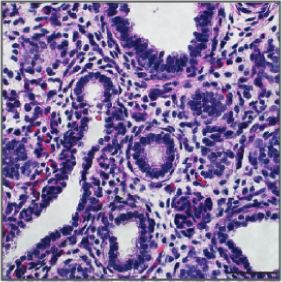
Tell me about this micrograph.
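This is developing lung tissue in which epithelial tubules lie within an abundant, densely cellular mesenchyme. The mesenchyme is packed with many small, crowded nuclei stained dark purple, with little pink matrix between them. The tubules have narrow lumens and are lined by cuboidal to columnar epithelial cells whose nuclei line up in a row near the base. A larger airway with a taller columnar lining crosses the upper part of the field. Thin-walled open airspaces are scarcely seen, so tissue takes up most of the field.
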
